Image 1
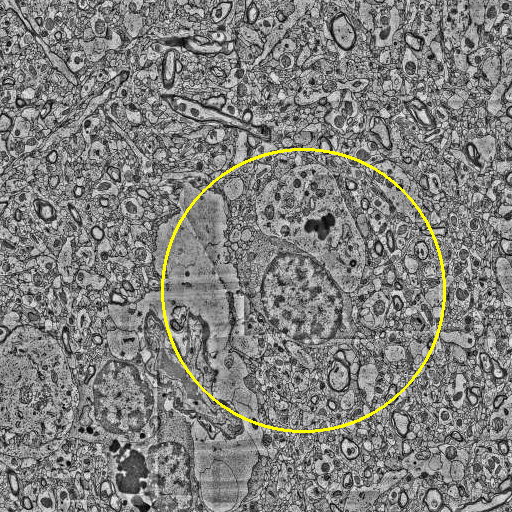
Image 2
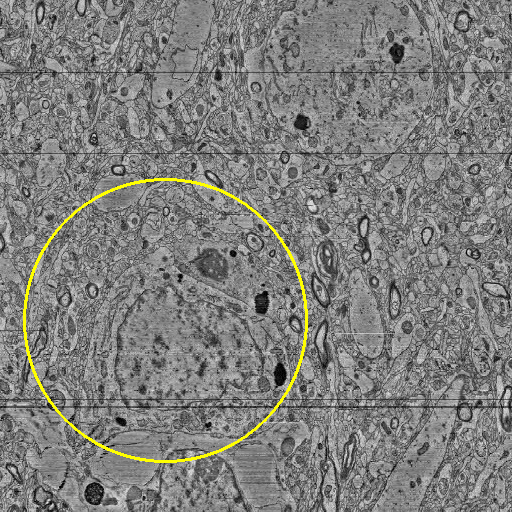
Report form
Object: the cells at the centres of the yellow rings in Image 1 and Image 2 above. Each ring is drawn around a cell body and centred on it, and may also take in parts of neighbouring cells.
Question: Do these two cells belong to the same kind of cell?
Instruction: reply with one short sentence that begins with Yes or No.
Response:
No, they belong to two kinds of cell.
